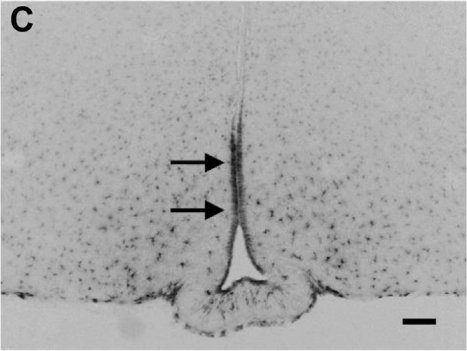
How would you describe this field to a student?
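Mediobasal hypothalamus at the median eminence with labelled tanycytes and astrocytes. A narrow midline ventricle runs vertically, widening into a triangular recess at its base; its walls are lined by a dense dark band of labelled cells. Below, the median eminence bulges from the brain base as a rounded structure crossed by fine dark radial streaks and outlined by a dark rim. The surrounding tissue holds many scattered small dark star-shaped cells with short processes, spread on both sides of the midline.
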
